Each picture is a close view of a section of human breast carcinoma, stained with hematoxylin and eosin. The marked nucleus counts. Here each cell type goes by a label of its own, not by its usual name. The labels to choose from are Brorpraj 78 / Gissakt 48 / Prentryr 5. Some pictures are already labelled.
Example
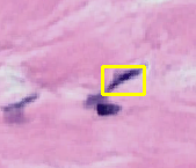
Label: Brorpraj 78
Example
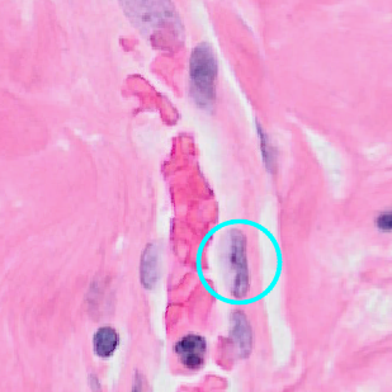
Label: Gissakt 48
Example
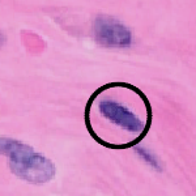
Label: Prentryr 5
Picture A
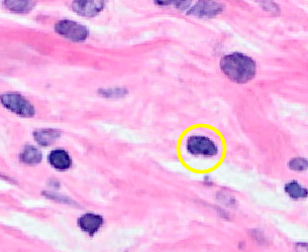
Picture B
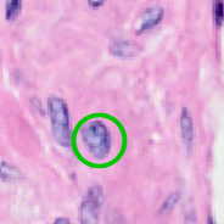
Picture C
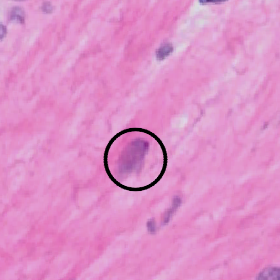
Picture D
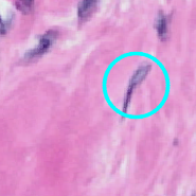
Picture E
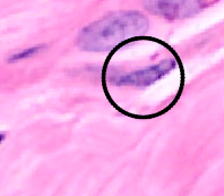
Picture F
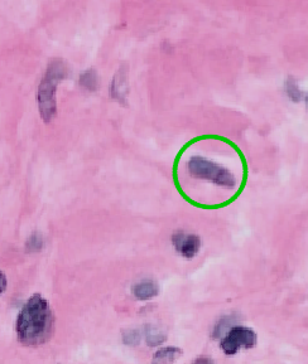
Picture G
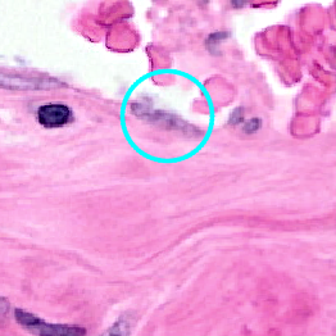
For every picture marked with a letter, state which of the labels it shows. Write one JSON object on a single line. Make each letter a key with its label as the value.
{"A": "Prentryr 5", "B": "Gissakt 48", "C": "Brorpraj 78", "D": "Brorpraj 78", "E": "Gissakt 48", "F": "Prentryr 5", "G": "Gissakt 48"}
